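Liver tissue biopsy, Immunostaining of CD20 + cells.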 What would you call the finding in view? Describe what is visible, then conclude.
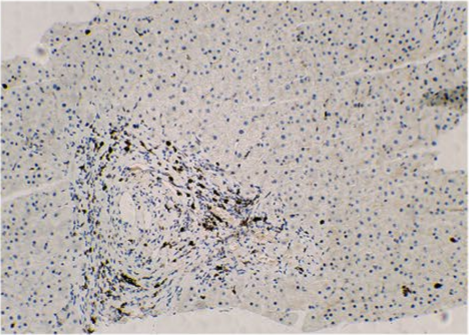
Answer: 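Inflammatory cell infiltration. Many small dark nuclei and brown-stained cells are crowded in a wedge around a vessel. The crowding is confined to the portal area and thins into the surrounding liver.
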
